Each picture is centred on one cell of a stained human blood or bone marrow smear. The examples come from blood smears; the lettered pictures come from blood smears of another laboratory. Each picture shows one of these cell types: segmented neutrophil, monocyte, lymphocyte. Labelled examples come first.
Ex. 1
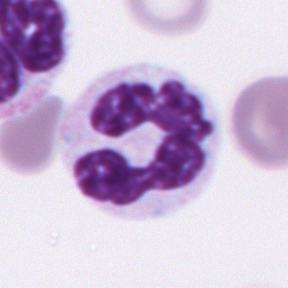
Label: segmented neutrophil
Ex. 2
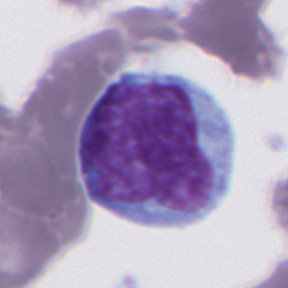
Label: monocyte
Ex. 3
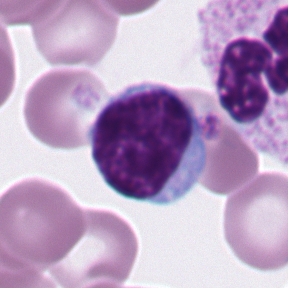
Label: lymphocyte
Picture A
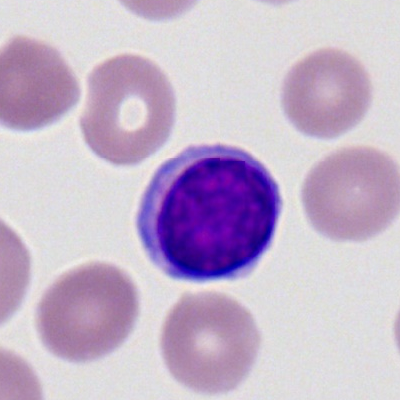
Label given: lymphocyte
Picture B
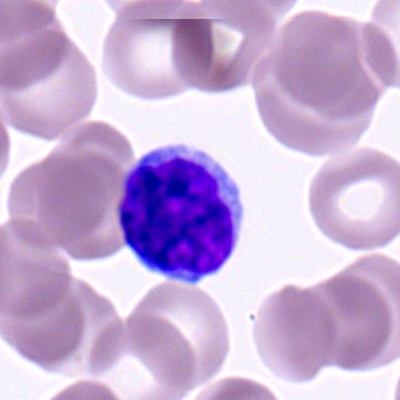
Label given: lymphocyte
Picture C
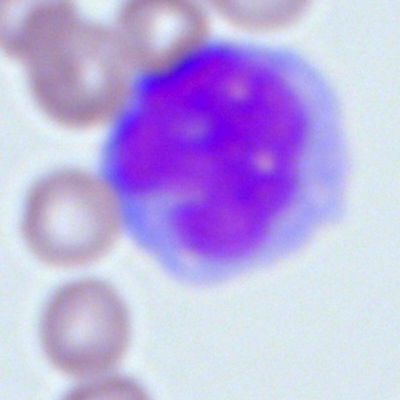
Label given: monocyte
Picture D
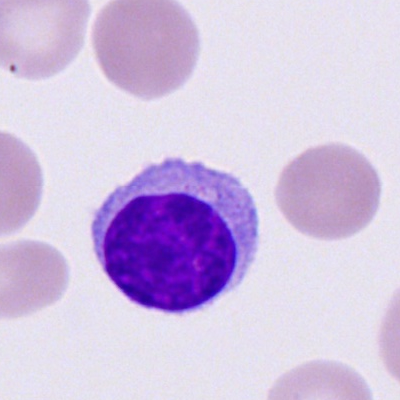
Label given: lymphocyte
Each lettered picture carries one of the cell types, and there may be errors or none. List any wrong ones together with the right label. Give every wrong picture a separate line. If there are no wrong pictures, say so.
No label is wrong.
